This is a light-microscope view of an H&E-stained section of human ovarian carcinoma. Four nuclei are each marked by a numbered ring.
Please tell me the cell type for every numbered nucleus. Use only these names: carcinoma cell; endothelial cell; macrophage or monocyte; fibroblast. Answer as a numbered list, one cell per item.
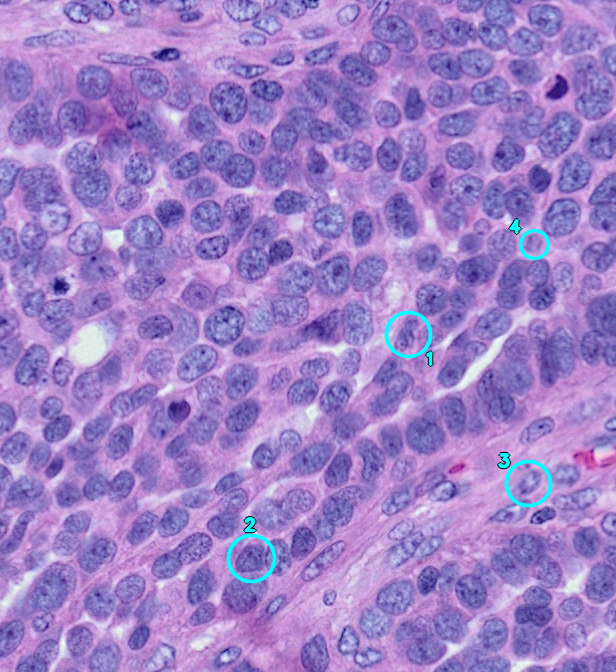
1. macrophage or monocyte
2. carcinoma cell
3. fibroblast
4. macrophage or monocyte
